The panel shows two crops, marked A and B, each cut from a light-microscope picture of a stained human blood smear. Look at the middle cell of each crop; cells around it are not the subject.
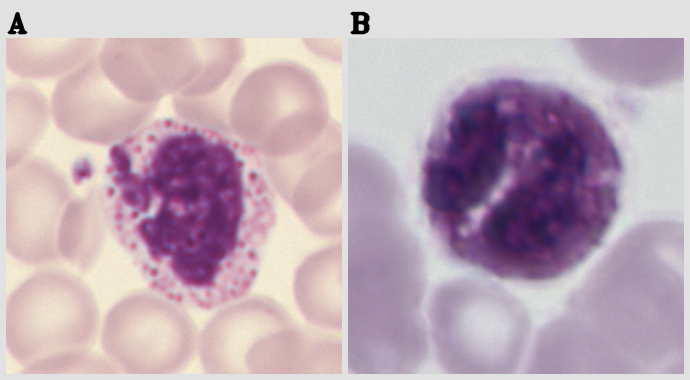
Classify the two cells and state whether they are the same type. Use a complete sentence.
No, a basophil is the cell in crop A; an eosinophil is the cell in crop B.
